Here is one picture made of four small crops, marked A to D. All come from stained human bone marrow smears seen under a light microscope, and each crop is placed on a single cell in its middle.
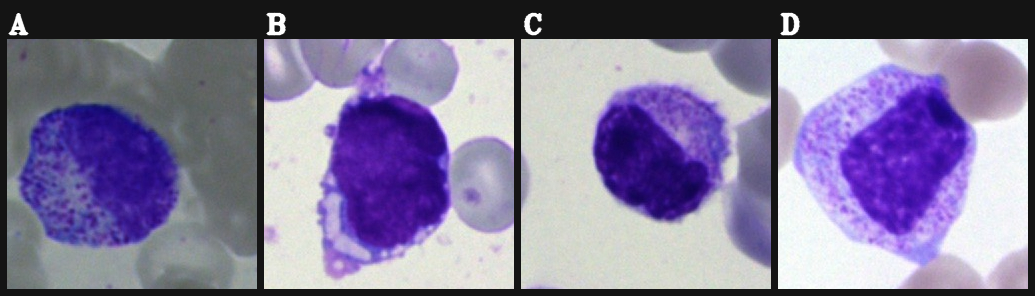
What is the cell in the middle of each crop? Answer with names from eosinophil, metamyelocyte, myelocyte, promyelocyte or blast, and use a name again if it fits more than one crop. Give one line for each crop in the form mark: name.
A: myelocyte
B: blast
C: myelocyte
D: myelocyte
